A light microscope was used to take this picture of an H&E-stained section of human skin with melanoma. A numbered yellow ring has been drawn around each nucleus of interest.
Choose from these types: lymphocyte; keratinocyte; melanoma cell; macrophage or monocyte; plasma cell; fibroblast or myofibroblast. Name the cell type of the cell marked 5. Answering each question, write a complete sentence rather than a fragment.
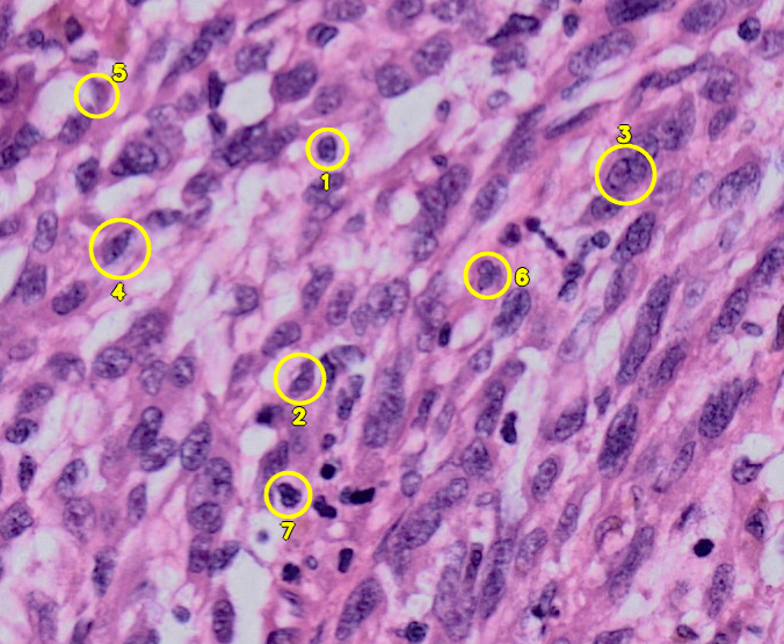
Cell 5 in the field is a melanoma cell.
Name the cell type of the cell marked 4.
The correct label for cell 4 is a melanoma cell.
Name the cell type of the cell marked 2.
Cell 2 in the field of view is a melanoma cell.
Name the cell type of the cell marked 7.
The cell that goes by number 7 is a lymphocyte.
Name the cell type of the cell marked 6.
Cell 6 in the field of view is a macrophage or monocyte.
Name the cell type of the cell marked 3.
Numbered cell 3 is a melanoma cell in this tissue section.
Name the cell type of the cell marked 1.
The mark numbered 1 indicates the nucleus of a lymphocyte.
